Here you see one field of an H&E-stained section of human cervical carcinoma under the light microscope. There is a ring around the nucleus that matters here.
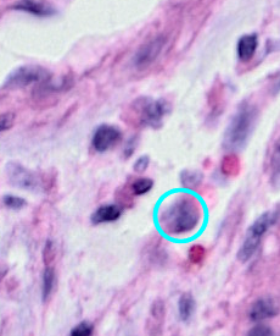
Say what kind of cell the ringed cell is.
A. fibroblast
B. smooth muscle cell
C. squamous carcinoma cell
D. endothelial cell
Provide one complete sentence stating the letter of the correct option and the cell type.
Given that the ringed cell is an endothelial cell, option D is the correct one.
